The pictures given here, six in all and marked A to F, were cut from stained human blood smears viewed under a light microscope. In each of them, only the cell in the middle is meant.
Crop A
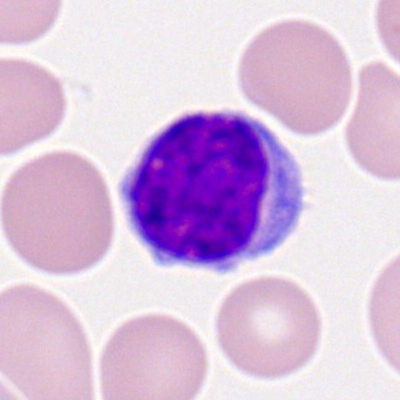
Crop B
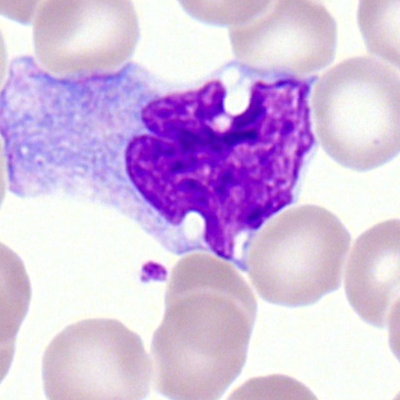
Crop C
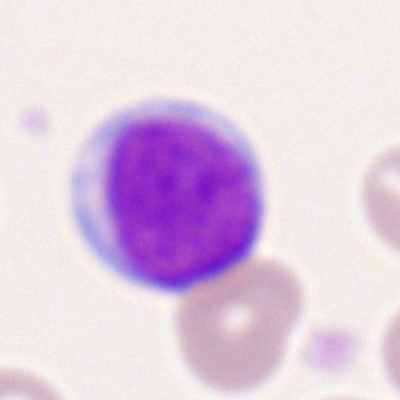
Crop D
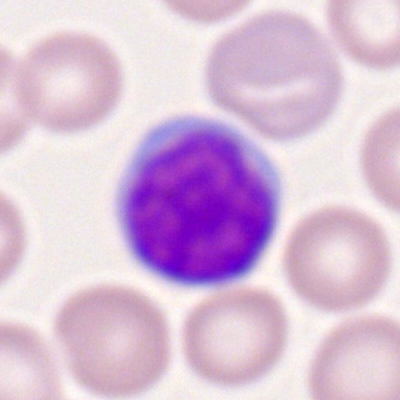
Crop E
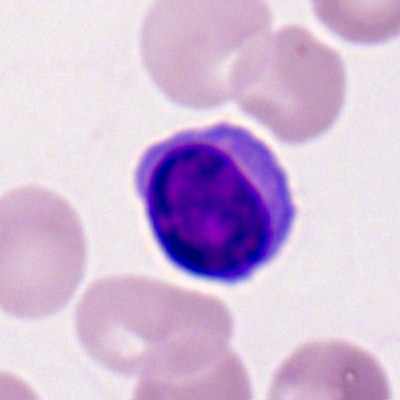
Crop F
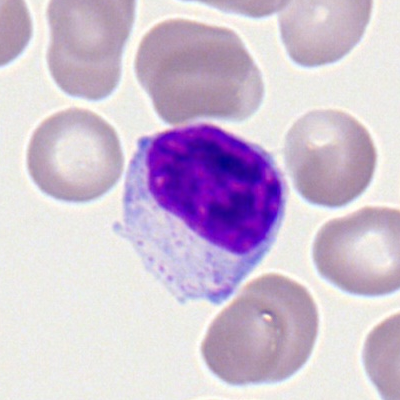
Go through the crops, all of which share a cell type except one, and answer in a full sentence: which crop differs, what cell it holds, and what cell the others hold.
All of the other crops show lymphocytes, while crop B shows a monocyte instead.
